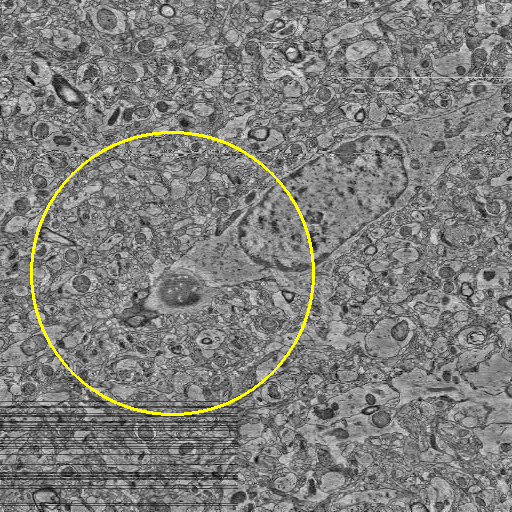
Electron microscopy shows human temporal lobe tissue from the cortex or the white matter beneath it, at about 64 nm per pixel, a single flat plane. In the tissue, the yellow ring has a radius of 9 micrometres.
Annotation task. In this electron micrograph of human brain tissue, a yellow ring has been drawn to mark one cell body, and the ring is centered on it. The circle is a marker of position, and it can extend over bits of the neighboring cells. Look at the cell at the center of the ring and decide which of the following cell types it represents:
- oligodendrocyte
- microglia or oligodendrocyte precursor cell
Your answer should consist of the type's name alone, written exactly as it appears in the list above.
oligodendrocyte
